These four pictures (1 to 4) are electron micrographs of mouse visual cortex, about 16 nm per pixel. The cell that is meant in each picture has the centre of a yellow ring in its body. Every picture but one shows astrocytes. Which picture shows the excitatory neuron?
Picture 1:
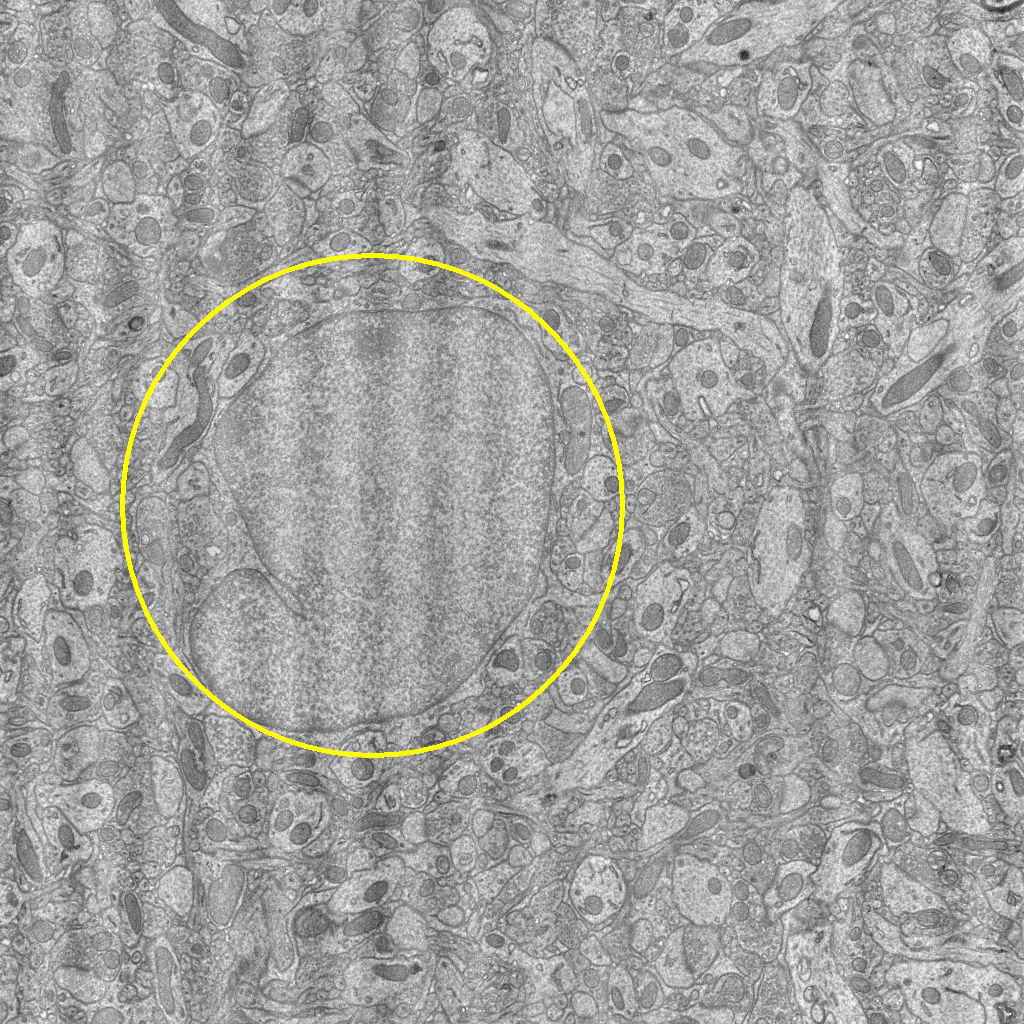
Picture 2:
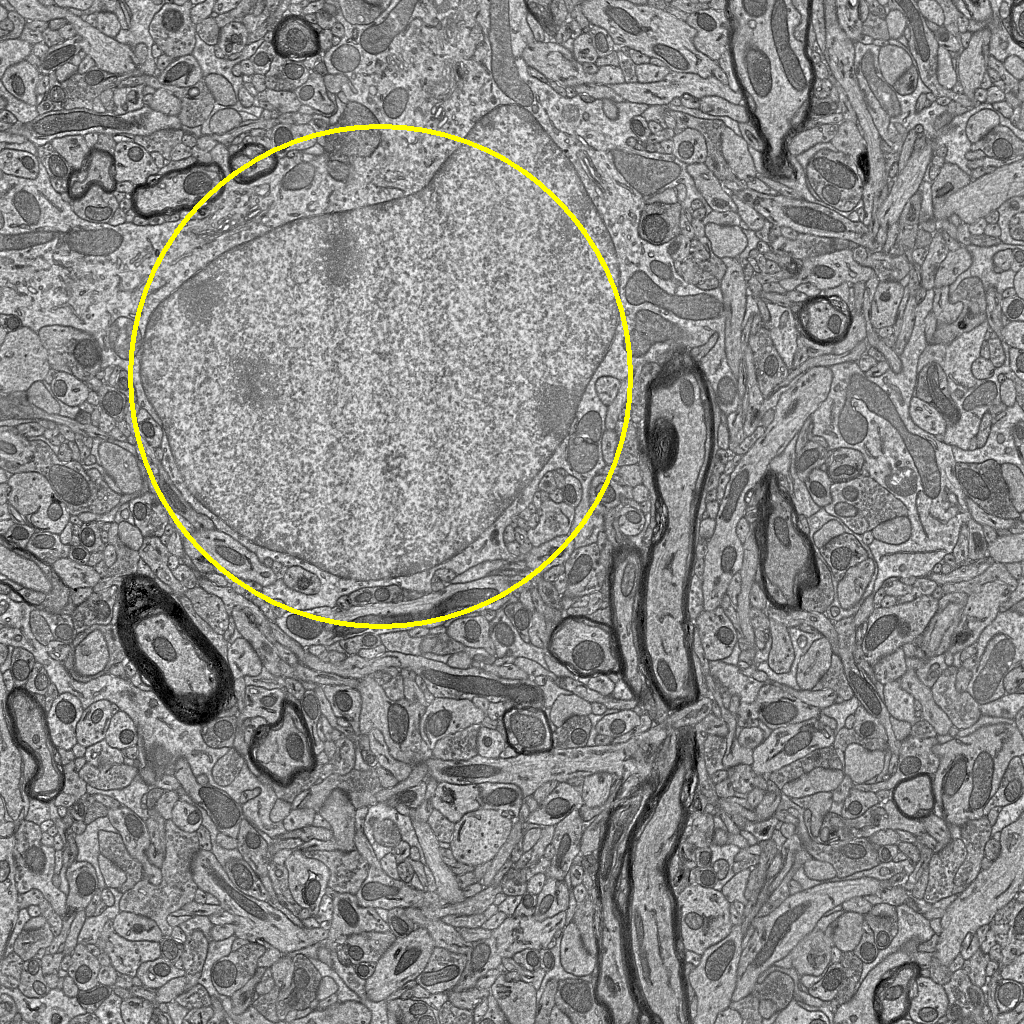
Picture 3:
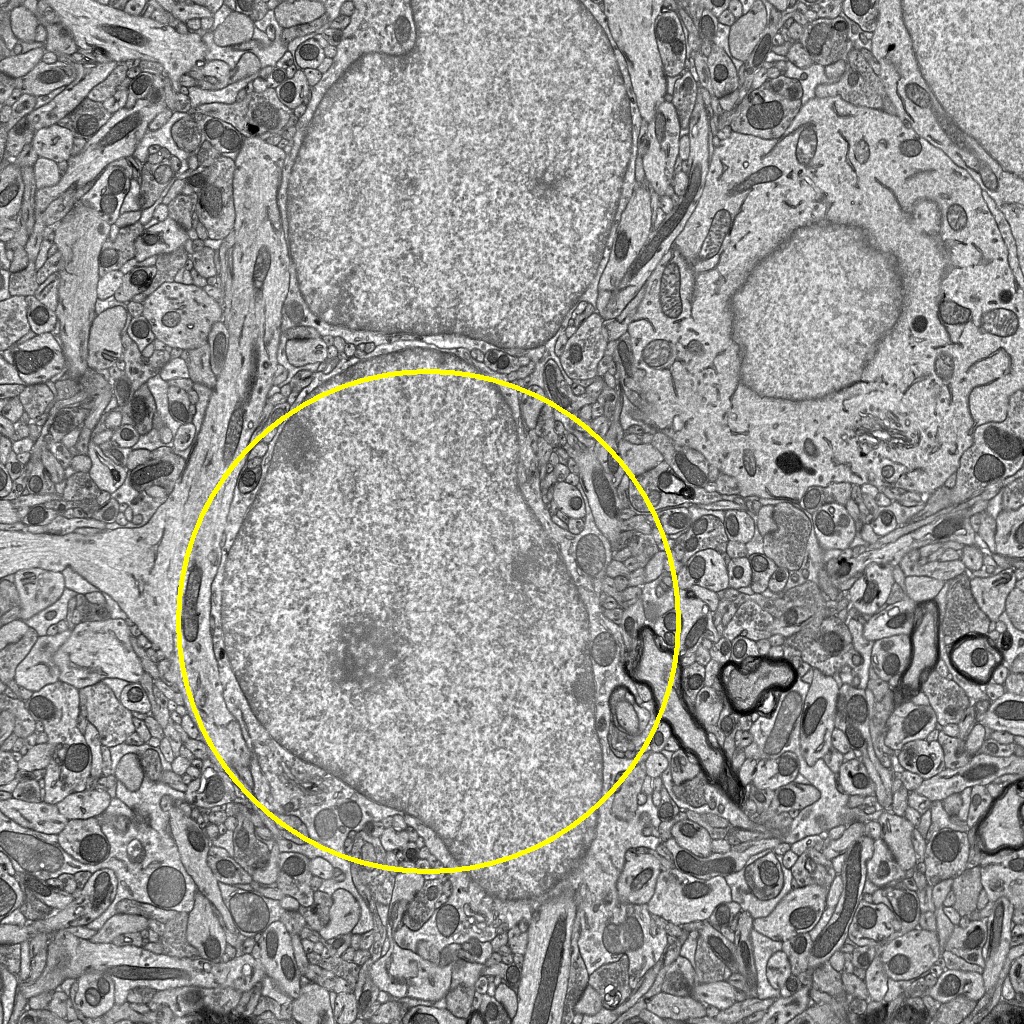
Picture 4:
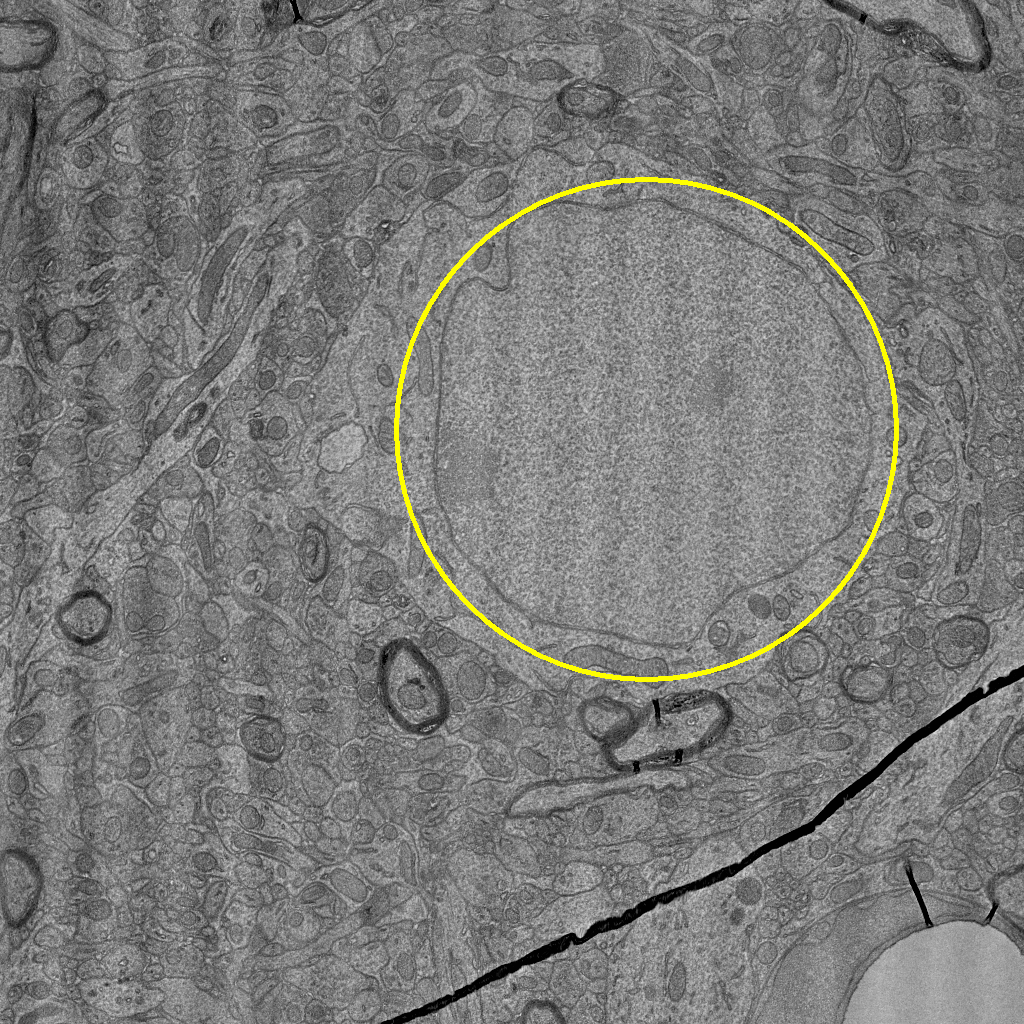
It is picture 4 that shows the excitatory neuron.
